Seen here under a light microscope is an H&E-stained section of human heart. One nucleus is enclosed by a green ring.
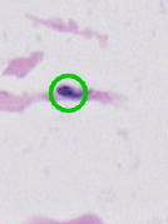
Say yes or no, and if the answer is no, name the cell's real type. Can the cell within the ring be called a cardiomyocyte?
No, it is a fibroblast.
